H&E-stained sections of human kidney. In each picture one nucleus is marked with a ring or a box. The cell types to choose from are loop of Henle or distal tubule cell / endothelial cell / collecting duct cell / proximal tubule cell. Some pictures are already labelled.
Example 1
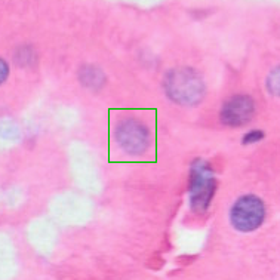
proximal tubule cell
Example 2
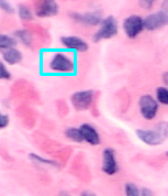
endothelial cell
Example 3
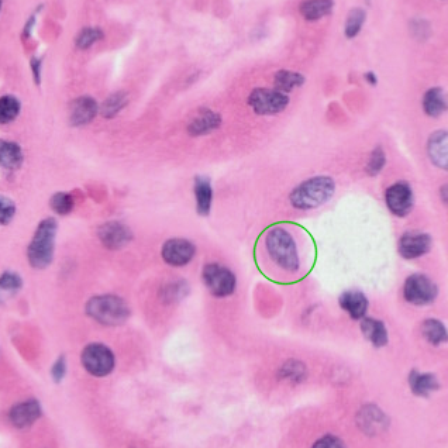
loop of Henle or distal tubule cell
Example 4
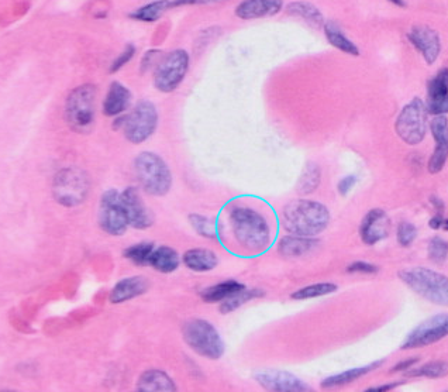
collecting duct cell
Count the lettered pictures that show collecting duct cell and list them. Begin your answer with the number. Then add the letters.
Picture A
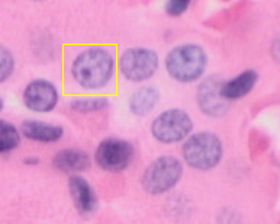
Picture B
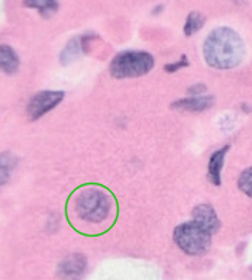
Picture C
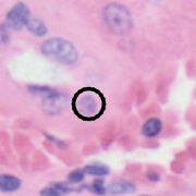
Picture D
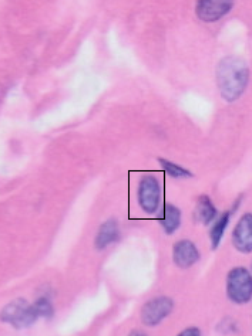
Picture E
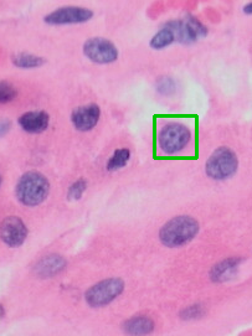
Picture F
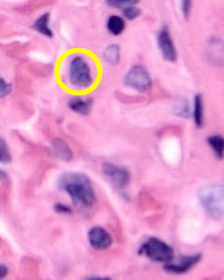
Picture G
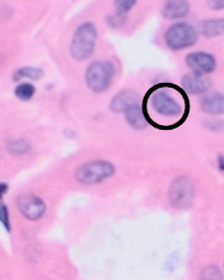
4, namely A, C, D, G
